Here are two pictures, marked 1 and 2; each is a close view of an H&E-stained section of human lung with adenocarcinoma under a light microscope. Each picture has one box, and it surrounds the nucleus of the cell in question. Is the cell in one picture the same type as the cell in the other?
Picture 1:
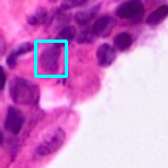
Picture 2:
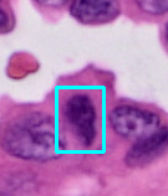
no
